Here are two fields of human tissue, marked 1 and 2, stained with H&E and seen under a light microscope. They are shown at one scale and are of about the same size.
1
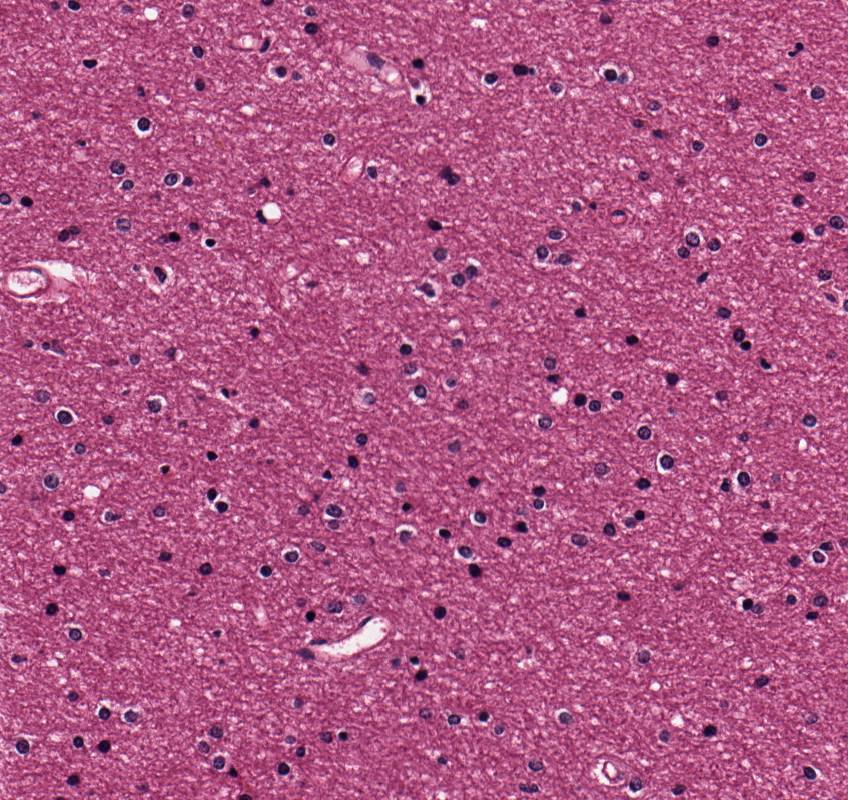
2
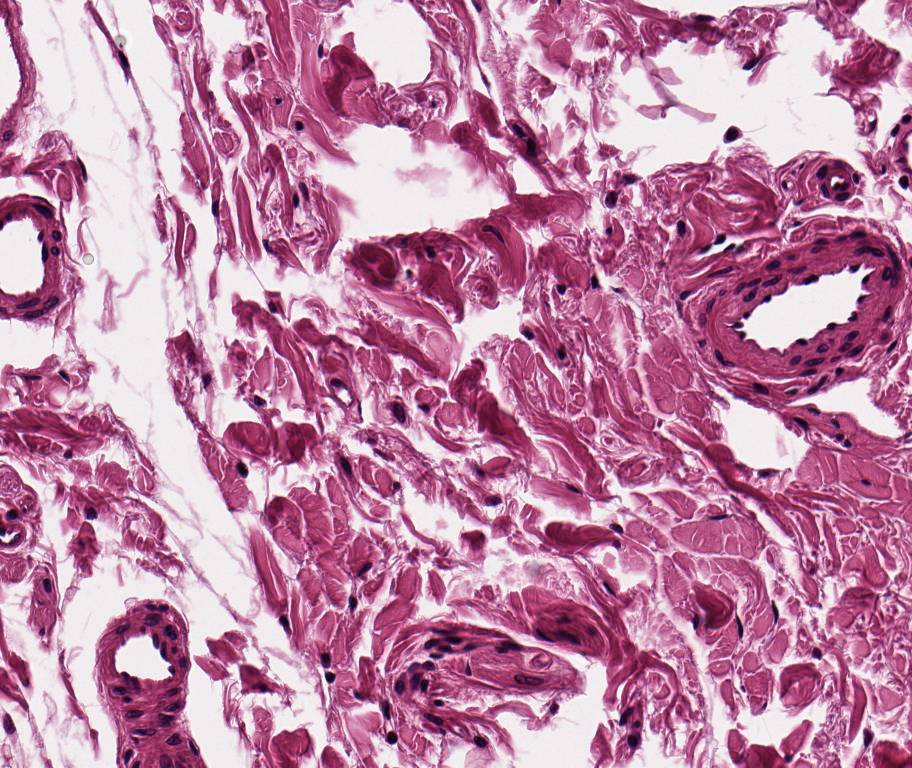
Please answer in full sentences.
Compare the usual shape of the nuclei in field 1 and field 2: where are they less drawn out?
The nuclei are rounder in field 1.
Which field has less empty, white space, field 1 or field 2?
Less of field 1 is empty and white.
